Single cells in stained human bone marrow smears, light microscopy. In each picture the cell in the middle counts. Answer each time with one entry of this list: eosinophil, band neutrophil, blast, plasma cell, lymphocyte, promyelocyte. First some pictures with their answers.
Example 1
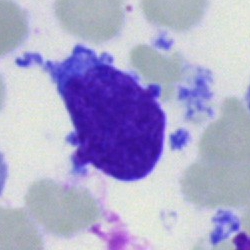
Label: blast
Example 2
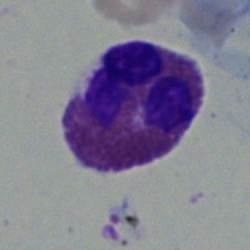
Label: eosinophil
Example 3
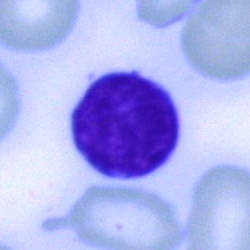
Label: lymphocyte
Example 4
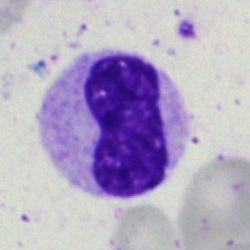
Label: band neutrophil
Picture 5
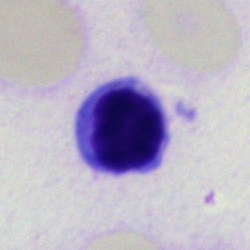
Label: lymphocyte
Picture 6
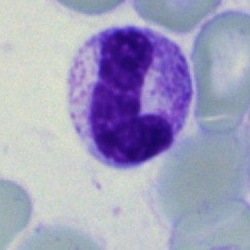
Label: band neutrophil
